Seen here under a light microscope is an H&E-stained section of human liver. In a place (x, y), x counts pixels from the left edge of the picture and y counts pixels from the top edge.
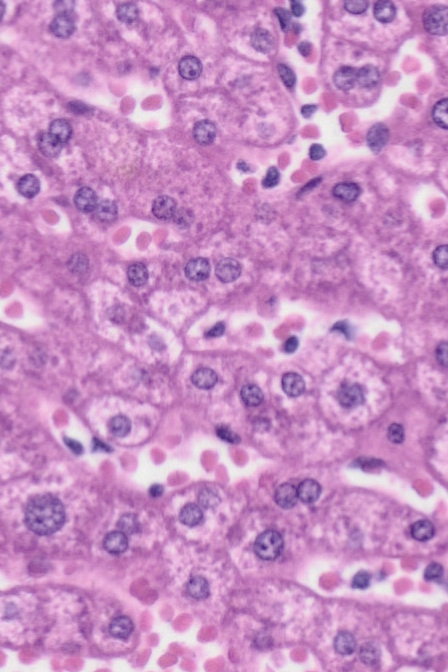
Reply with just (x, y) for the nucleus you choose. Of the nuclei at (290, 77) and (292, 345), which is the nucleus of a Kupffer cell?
(290, 77)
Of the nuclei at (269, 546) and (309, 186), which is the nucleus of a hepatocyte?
(269, 546)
